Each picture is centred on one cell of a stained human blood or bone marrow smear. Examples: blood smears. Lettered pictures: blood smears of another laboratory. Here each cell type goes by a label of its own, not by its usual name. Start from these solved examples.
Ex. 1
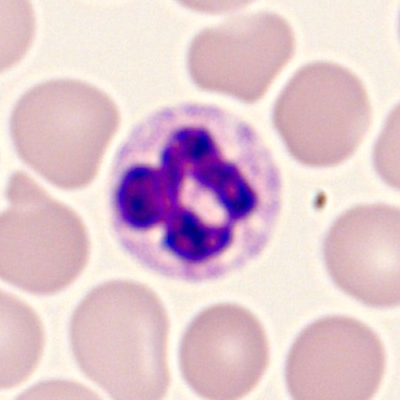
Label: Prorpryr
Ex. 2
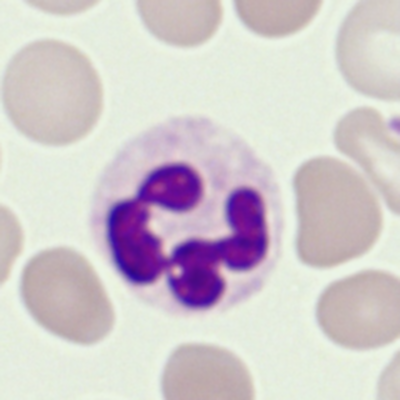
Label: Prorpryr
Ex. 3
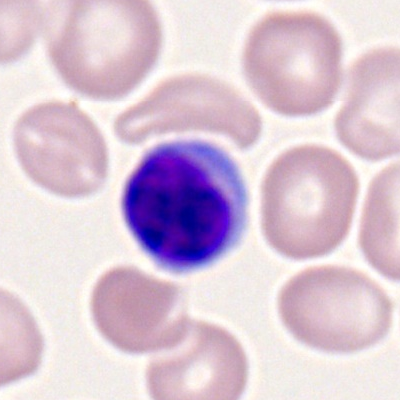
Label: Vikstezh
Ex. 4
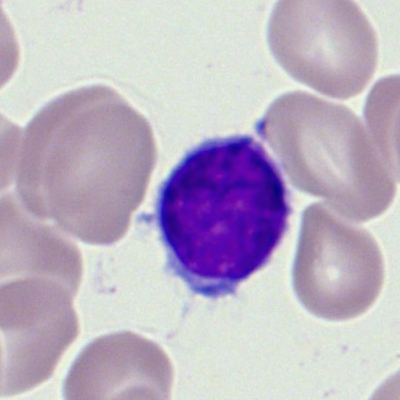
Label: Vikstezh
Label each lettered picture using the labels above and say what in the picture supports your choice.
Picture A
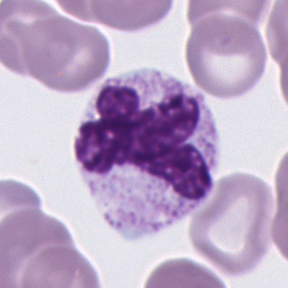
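Prorpryr. The cytoplasm is very pale, almost colourless with a faint pinkish-lilac tint.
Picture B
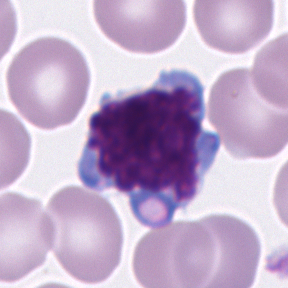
Vikstezh. The cytoplasm is scant, forming only a thin, patchy rim around the nucleus.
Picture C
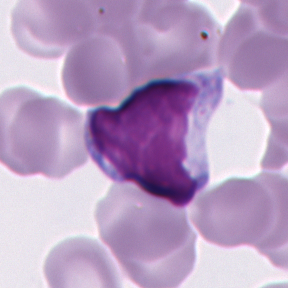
Vikstezh. The nucleus fills most of the cell.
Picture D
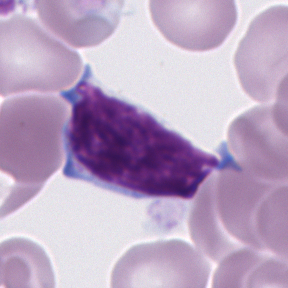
Vikstezh. The cytoplasm is scant, forming only a thin rim beside the nucleus.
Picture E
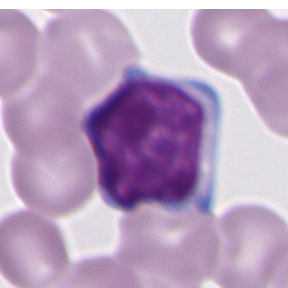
Vikstezh. The nucleus is a single unlobed mass.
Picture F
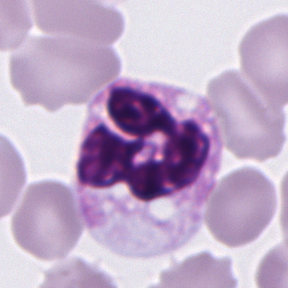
Prorpryr. The cytoplasm is plentiful and pale pinkish-lilac.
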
